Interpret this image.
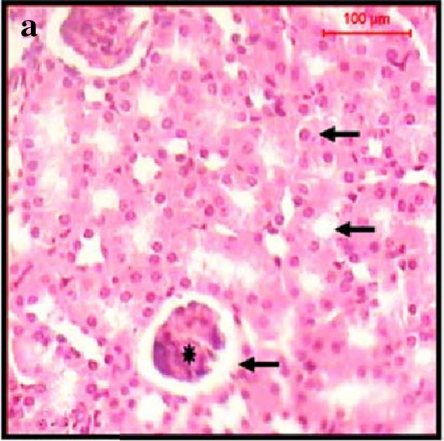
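Kidney cortex with a renal corpuscle and surrounding renal tubules lined by cuboidal cells with pink cytoplasm and round purple nuclei. The glomerulus appears as a compact tuft of dark nuclei within a round capsule, separated from it by a clear urinary space. Tubule lumens appear as small pale spaces between the closely packed tubules.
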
